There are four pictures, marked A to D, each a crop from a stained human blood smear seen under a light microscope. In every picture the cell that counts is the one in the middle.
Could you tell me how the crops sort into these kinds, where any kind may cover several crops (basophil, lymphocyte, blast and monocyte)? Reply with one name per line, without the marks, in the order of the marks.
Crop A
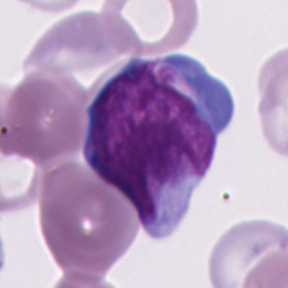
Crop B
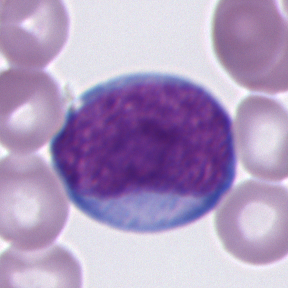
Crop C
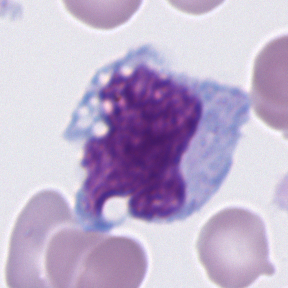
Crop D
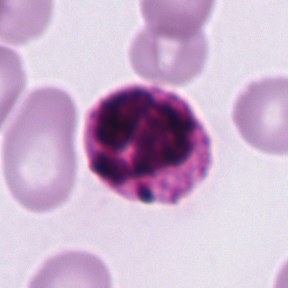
blast
blast
monocyte
basophil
